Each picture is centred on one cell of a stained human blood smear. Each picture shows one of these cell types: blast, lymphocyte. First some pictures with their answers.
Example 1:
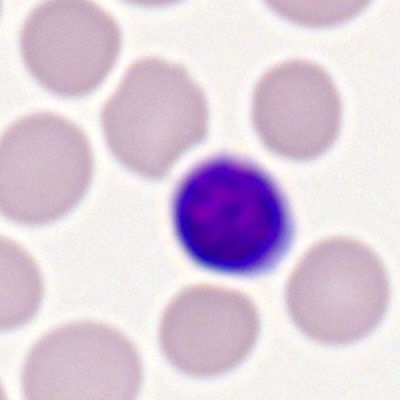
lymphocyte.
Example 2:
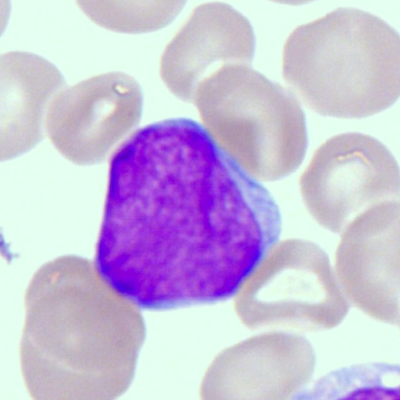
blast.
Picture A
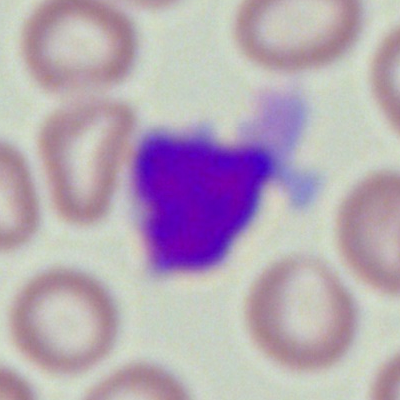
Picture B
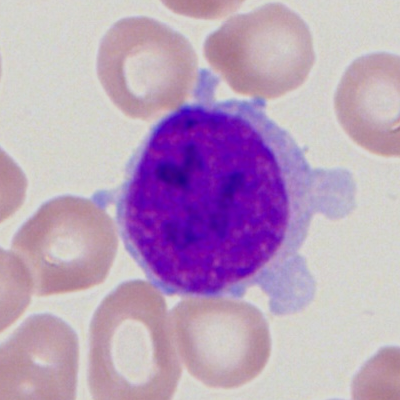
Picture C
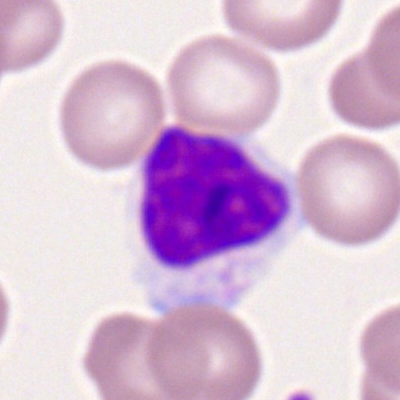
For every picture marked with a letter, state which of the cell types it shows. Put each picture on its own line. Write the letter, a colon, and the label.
A: lymphocyte.
B: lymphocyte.
C: lymphocyte.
